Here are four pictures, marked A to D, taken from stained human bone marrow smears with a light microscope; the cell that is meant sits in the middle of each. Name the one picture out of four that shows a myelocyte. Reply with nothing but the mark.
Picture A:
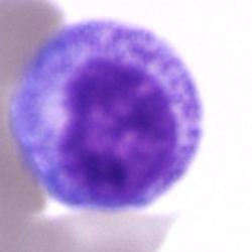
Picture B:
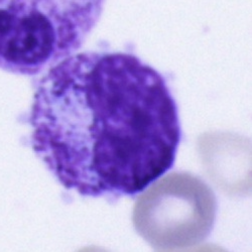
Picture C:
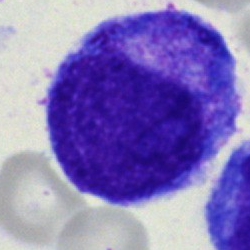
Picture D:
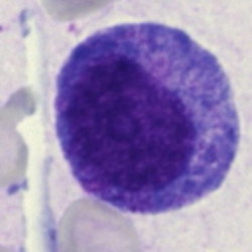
B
